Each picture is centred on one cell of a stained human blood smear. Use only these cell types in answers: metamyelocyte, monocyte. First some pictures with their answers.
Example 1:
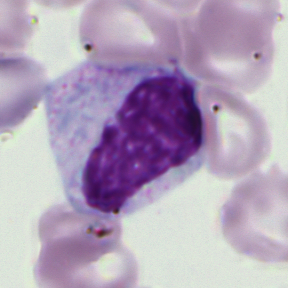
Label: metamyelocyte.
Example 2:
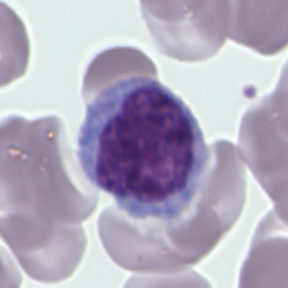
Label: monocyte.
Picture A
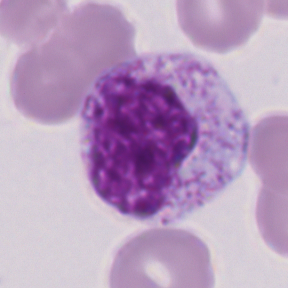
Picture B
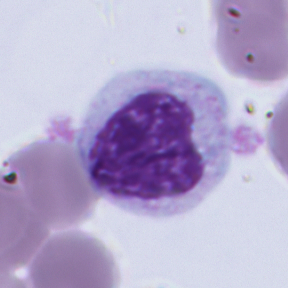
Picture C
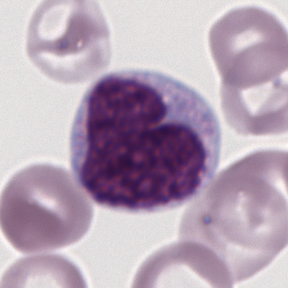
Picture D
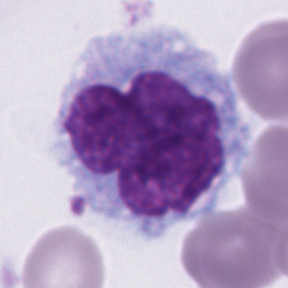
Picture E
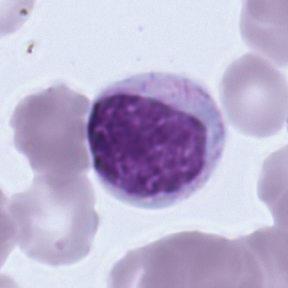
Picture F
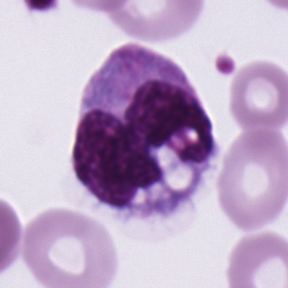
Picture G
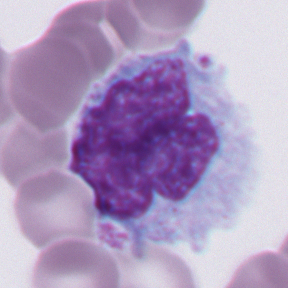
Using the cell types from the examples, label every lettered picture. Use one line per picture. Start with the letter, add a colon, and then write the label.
A: metamyelocyte.
B: metamyelocyte.
C: monocyte.
D: monocyte.
E: metamyelocyte.
F: monocyte.
G: monocyte.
